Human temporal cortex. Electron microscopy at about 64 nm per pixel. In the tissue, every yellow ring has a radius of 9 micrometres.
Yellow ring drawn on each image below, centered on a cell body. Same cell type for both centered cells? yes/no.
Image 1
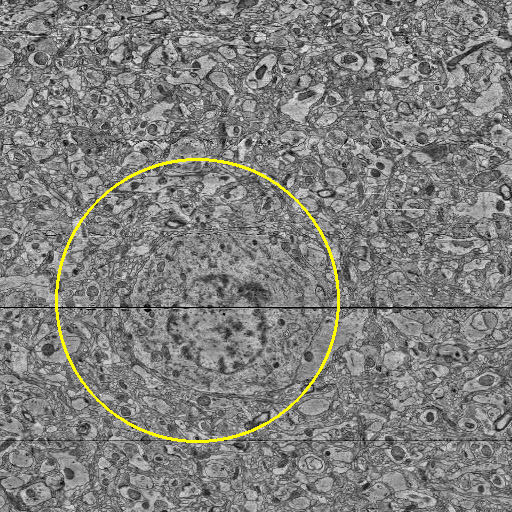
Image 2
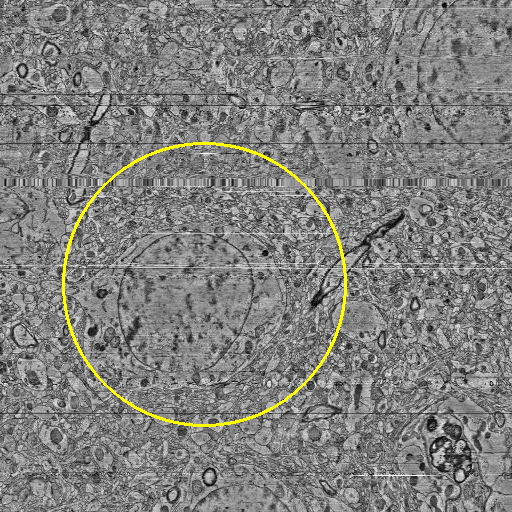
no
